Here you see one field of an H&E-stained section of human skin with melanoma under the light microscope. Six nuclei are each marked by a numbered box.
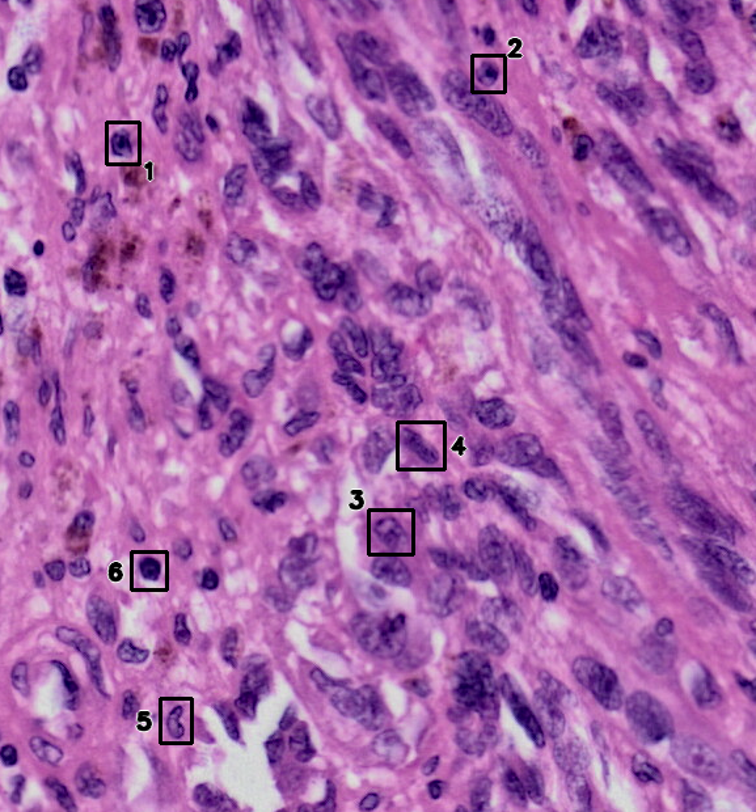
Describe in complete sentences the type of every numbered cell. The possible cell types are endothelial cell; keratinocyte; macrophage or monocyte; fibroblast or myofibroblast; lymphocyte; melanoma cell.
Cells 1, 2 and 6 are lymphocytes. Cells 3 and 4 are melanoma cells. Cell 5 is a macrophage or monocyte.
